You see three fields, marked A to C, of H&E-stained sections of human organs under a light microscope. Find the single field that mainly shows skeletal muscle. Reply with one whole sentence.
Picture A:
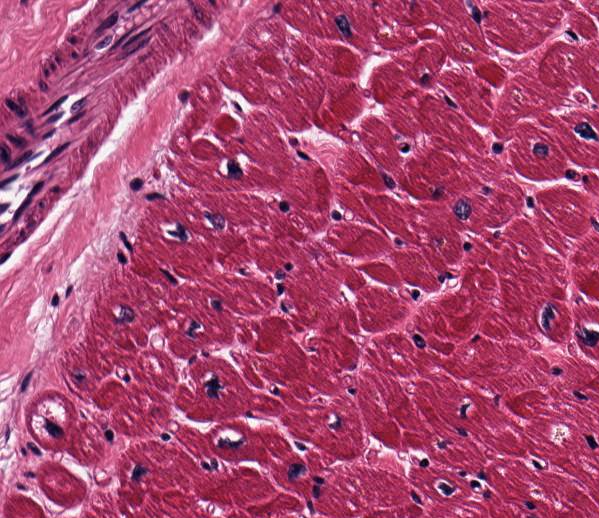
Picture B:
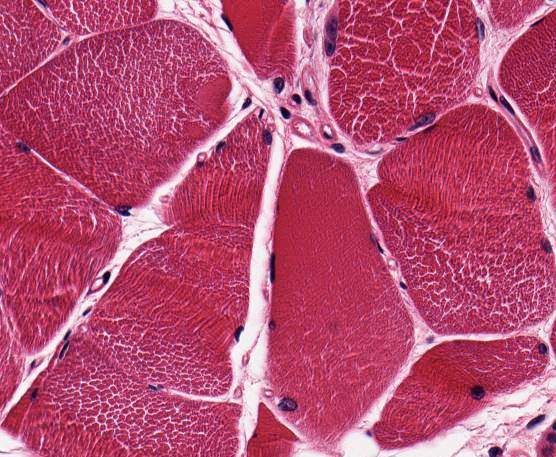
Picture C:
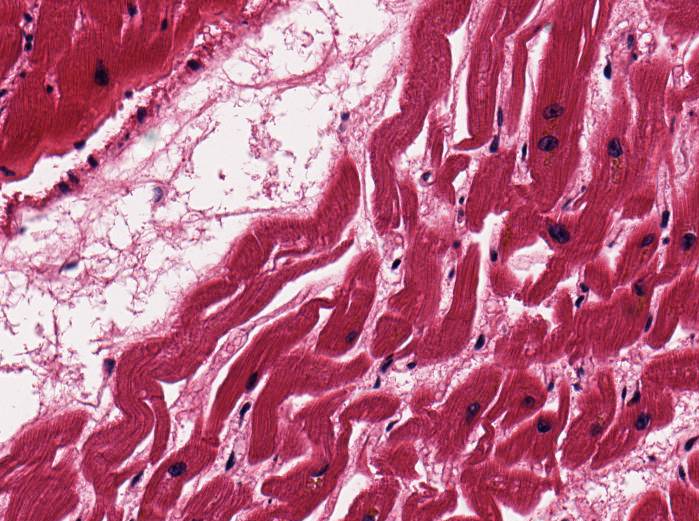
The one that mainly shows skeletal muscle is picture B.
